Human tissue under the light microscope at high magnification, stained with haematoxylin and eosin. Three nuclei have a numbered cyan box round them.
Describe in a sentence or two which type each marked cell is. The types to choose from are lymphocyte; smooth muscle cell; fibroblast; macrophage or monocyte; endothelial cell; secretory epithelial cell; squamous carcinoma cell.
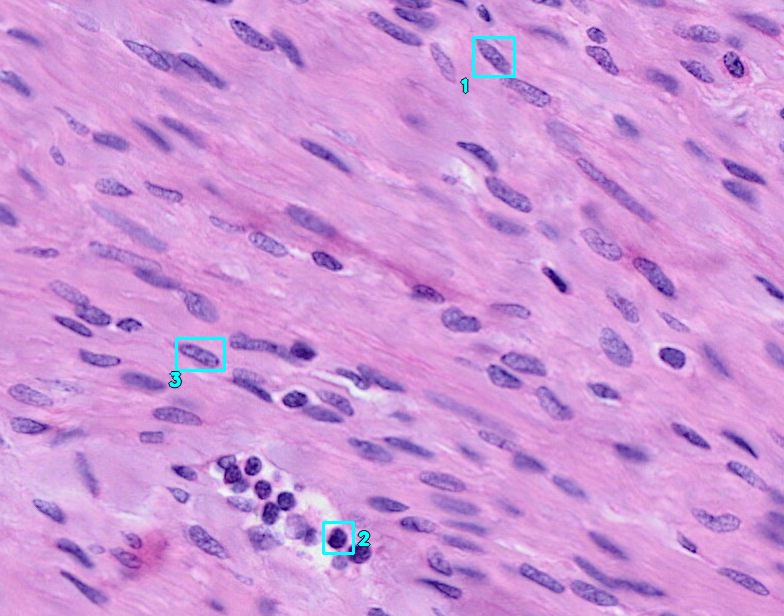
Cell 1 is a fibroblast, cell 2 is a lymphocyte and cell 3 is a fibroblast.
